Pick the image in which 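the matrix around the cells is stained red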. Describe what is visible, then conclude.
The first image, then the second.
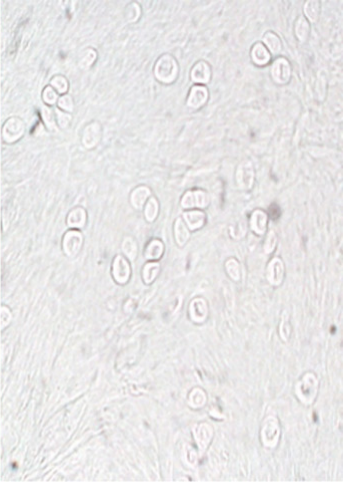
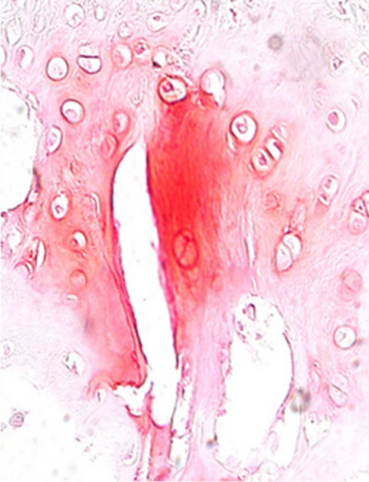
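The second image. First image: the matrix around the lacunae is pale and almost colourless. Second image: the matrix around the lacunae is stained red to orange.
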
